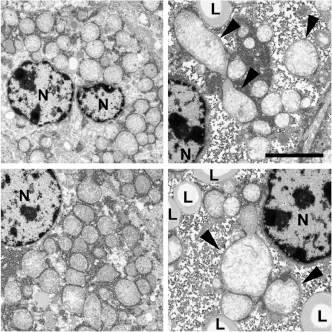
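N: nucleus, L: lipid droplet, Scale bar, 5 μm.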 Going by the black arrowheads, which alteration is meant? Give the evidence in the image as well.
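Deformed mitochondria. The arrowheads point to membrane-bound organelles that are enlarged and irregular in shape.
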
